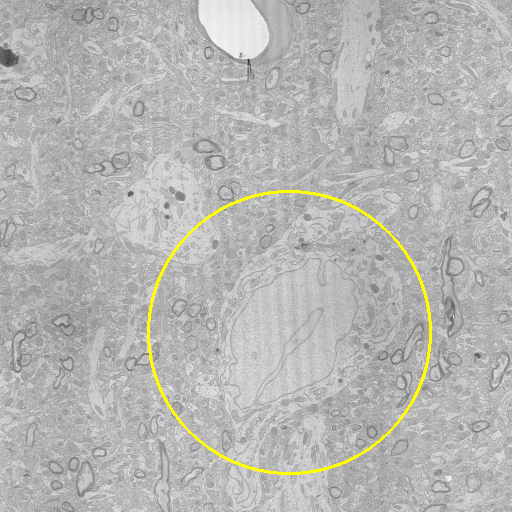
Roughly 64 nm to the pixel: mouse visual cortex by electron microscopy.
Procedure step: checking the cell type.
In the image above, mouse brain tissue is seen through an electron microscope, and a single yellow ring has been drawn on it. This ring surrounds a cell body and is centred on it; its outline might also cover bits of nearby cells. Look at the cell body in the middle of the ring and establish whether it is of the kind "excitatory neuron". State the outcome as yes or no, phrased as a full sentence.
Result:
No, the cell body at the ring's centre in the image is of another kind.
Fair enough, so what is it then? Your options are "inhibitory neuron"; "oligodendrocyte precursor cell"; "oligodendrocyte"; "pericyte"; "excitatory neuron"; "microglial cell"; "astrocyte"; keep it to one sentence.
The cell in question here is an inhibitory neuron.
